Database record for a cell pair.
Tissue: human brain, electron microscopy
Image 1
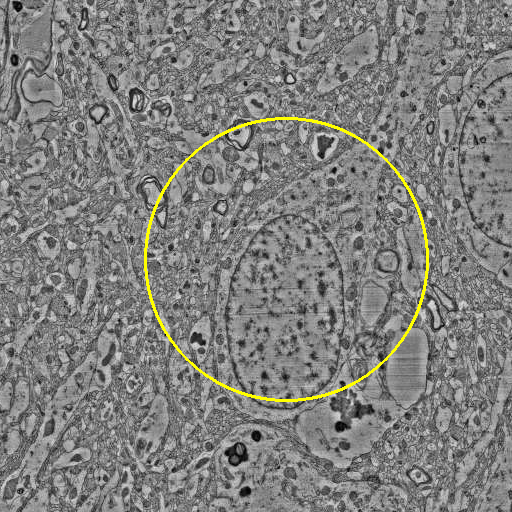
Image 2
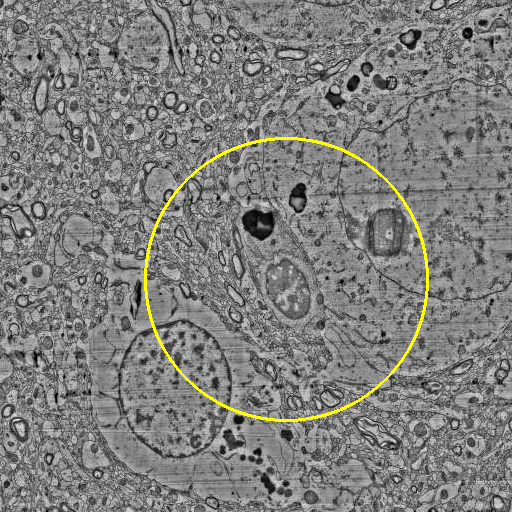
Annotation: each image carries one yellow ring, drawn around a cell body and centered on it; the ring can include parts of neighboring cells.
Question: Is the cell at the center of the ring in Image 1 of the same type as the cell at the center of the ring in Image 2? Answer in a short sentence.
No, the cells are of two types.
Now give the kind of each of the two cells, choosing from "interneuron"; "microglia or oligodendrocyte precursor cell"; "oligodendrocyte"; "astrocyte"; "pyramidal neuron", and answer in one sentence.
The cell in the first picture is a pyramidal neuron, and the cell in the second is an oligodendrocyte.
